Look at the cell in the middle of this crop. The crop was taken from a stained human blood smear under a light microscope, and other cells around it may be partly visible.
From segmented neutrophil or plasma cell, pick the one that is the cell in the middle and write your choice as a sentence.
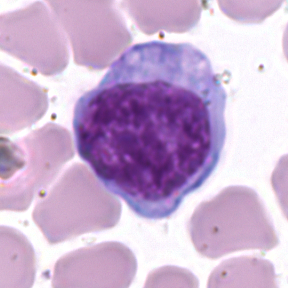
The cell at the middle of the crop is recognized as a plasma cell.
